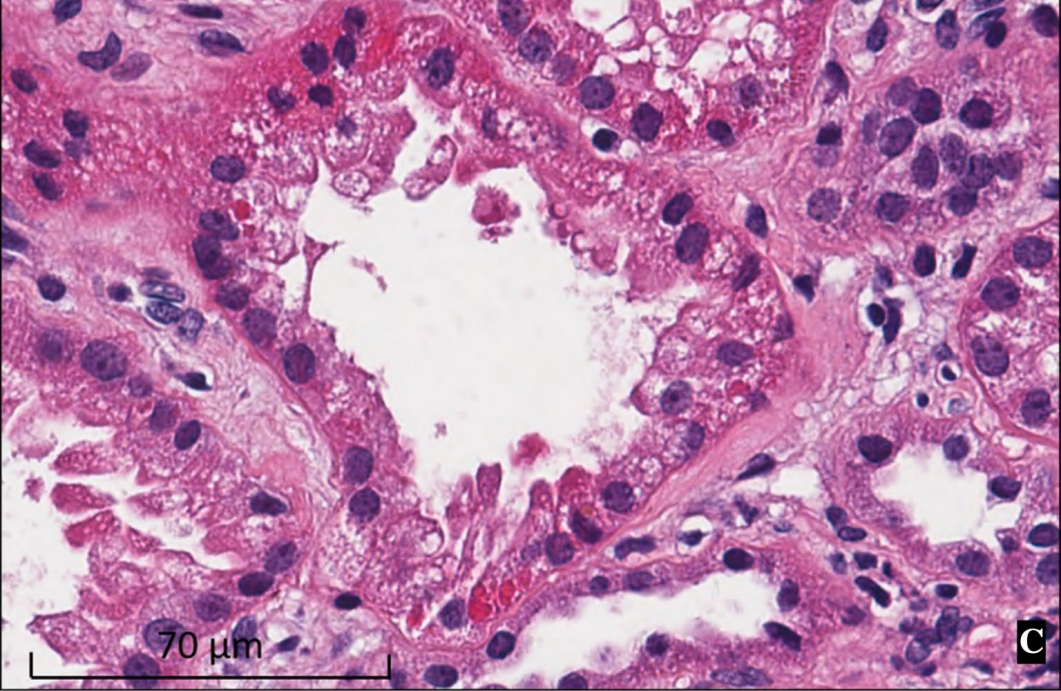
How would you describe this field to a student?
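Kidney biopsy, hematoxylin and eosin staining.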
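This is a high view of renal proximal tubules, lined by tall epithelial cells with abundant granular, pink cytoplasm and round purple nuclei set in a single row. The luminal surface is frayed and vacuolated, with fragments of cytoplasm lying free in the central lumen. Thin strands of interstitium with small flattened nuclei separate neighbouring tubules.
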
